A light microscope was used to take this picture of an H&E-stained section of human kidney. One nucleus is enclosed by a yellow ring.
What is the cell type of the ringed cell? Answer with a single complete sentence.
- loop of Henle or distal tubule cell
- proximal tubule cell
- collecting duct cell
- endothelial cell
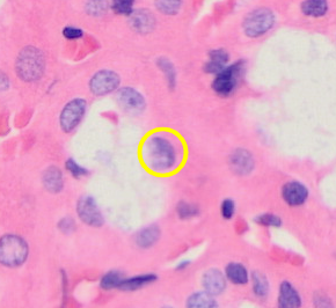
The identity of the ringed cell is that of a loop of Henle or distal tubule cell.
